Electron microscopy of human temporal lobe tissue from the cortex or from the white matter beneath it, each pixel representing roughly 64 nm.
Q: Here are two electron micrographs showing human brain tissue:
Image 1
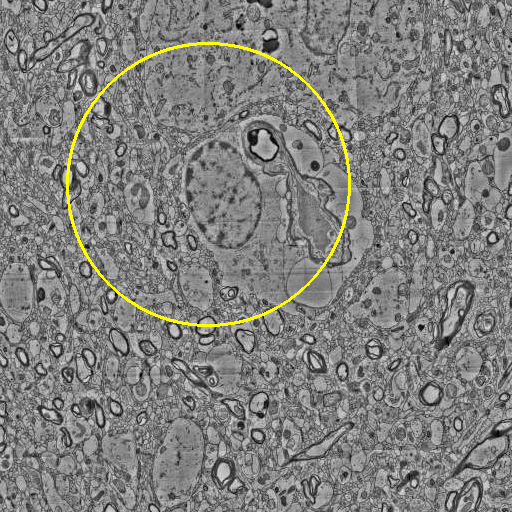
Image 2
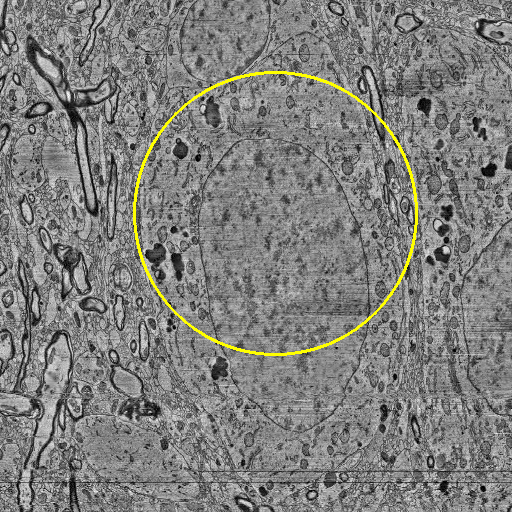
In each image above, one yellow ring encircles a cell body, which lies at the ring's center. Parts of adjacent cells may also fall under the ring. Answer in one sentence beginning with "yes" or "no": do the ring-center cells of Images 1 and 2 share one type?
No, in Images 1 and 2, the ring-center cells are of two types.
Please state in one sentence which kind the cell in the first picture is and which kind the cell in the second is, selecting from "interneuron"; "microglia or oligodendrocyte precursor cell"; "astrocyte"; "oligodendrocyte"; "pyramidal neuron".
The first ringed cell is a microglial cell or oligodendrocyte precursor cell, the second ringed cell a pyramidal neuron.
